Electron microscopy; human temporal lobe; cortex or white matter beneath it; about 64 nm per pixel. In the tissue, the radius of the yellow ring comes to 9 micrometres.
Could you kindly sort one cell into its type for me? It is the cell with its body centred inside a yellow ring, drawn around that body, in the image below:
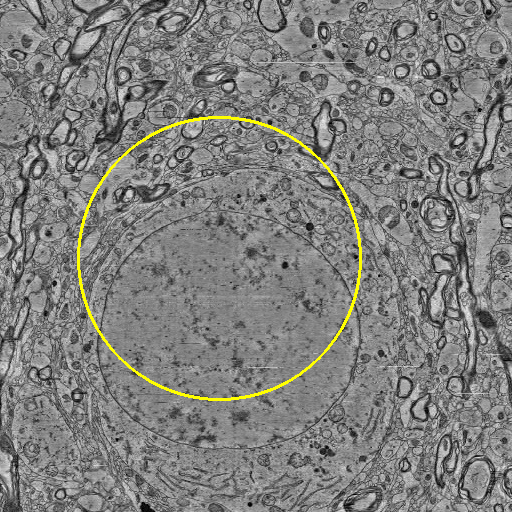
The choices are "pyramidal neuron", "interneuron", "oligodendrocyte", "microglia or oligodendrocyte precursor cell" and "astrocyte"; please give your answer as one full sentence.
The cell whose body lies centred in the yellow ring here is a pyramidal neuron.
